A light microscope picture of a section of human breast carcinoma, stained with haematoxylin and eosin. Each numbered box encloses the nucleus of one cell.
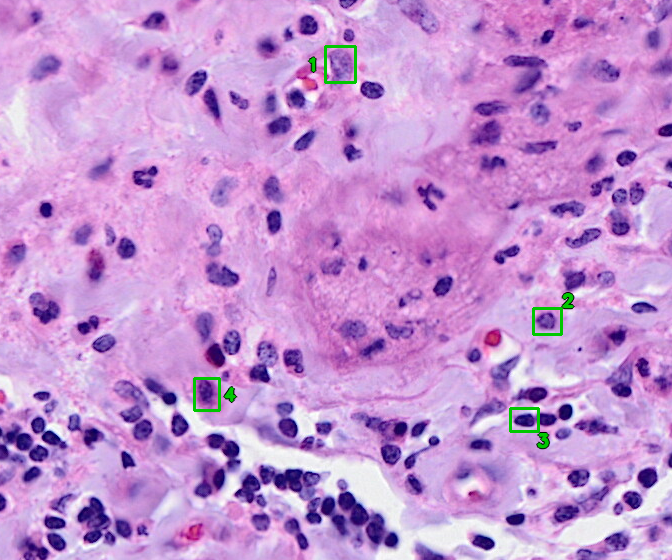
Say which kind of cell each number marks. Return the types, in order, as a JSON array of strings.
["endothelial cell", "mast cell", "lymphocyte", "mast cell"]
